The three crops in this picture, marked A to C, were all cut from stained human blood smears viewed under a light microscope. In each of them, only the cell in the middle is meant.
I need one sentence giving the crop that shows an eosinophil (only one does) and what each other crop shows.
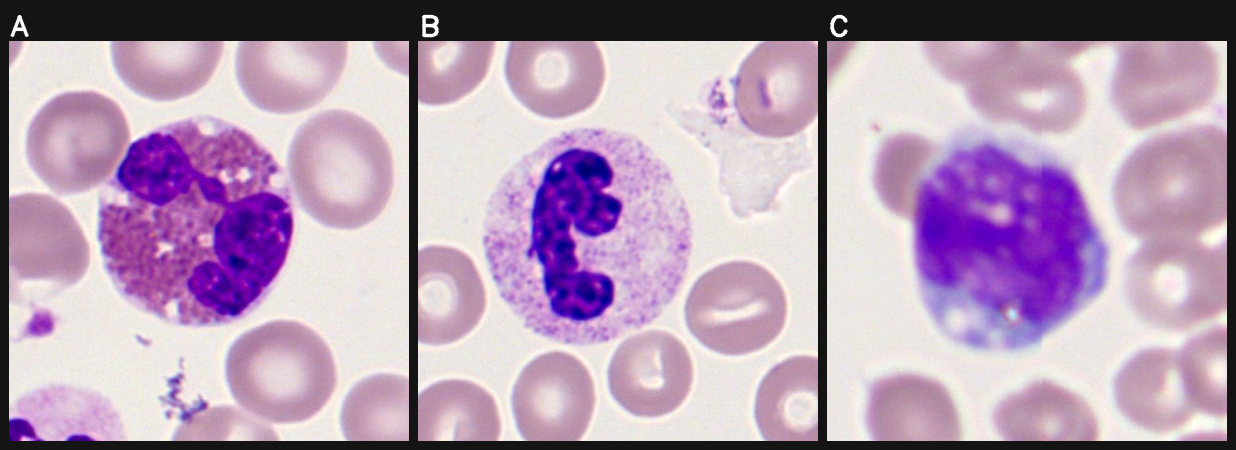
Crop by crop: crop A is an eosinophil, while crop B is a segmented neutrophil and crop C is a monocyte.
